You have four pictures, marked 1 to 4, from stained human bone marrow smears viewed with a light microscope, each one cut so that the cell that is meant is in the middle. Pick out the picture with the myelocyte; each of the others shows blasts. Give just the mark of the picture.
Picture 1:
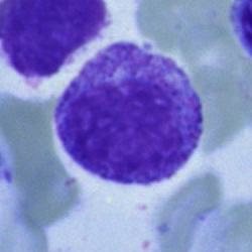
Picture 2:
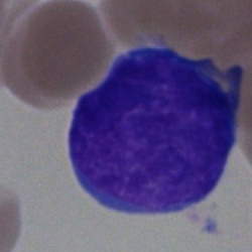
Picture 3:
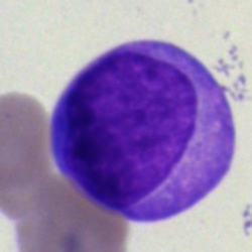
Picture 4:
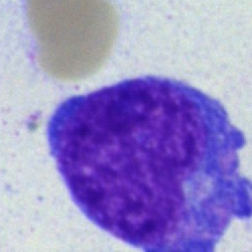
1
